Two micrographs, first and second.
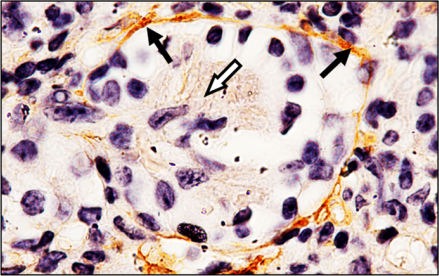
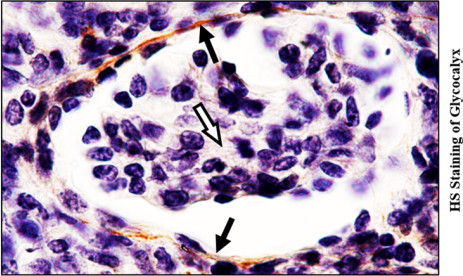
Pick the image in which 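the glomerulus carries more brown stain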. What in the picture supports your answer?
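Second image: only a thin brown line runs along part of the outer layer of the glomerulus. First image: brown-orange stain is broader along the outer layer and extends into surrounding tissue. The answer: the first image.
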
